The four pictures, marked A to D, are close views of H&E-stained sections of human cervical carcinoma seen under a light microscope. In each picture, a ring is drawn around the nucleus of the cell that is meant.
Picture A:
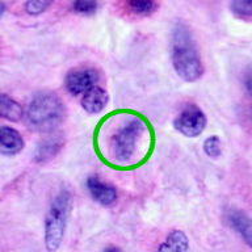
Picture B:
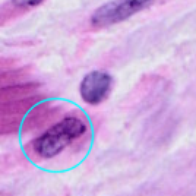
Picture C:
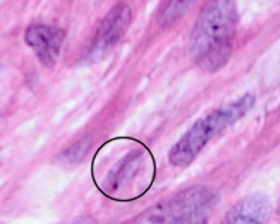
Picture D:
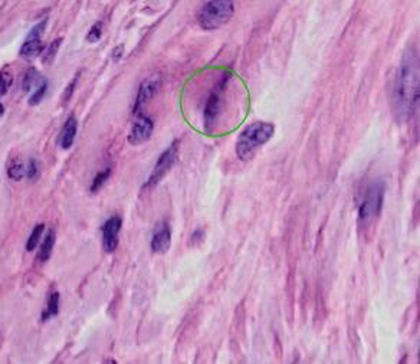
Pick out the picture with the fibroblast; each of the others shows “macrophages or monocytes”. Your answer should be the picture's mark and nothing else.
C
